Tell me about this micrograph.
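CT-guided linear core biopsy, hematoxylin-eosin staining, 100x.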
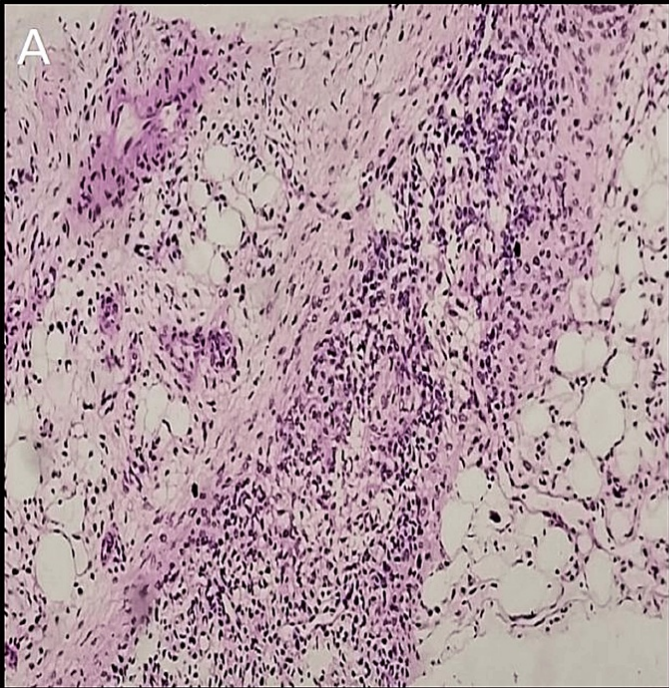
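A dense band of closely packed cells with dark-purple, elongated to oval nuclei runs obliquely through the centre. Toward the edges the cells are looser and set in pale pink fibrillary stroma. Mature fat cells appear as large, round, clear empty spaces with thin membranes. They lie in clusters at the right and lower left and are interspersed among the cellular areas. A few small pink-walled structures are present at the upper left. No organised normal architecture is seen.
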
